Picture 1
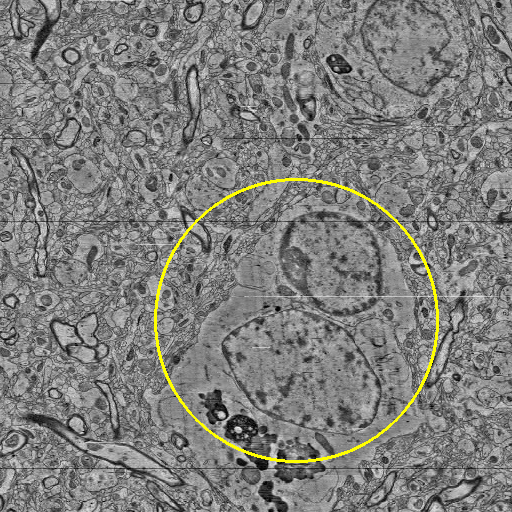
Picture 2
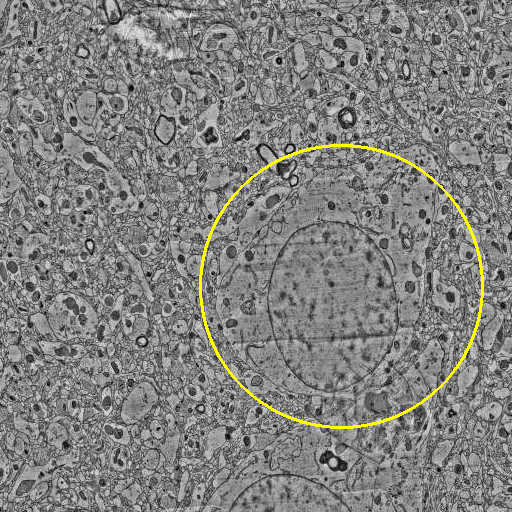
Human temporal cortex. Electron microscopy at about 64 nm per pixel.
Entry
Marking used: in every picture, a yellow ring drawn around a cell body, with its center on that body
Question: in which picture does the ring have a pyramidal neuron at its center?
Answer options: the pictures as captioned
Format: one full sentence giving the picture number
Picture 2 is where the ring's center falls on the requested cell.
